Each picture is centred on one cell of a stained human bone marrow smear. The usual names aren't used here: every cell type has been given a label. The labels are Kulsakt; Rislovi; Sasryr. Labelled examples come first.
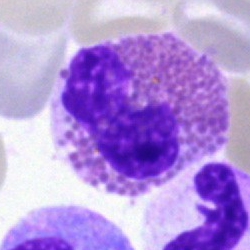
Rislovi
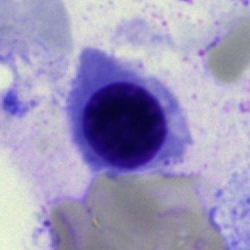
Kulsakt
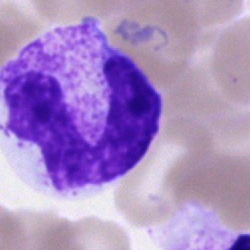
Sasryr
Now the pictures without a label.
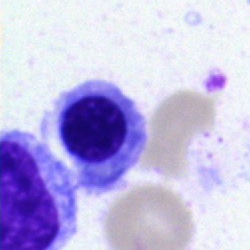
Kulsakt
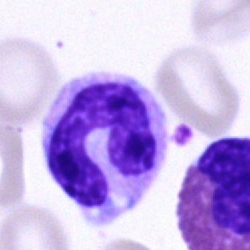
Sasryr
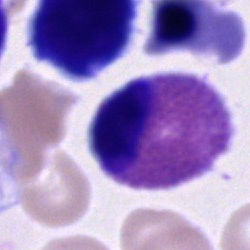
Rislovi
